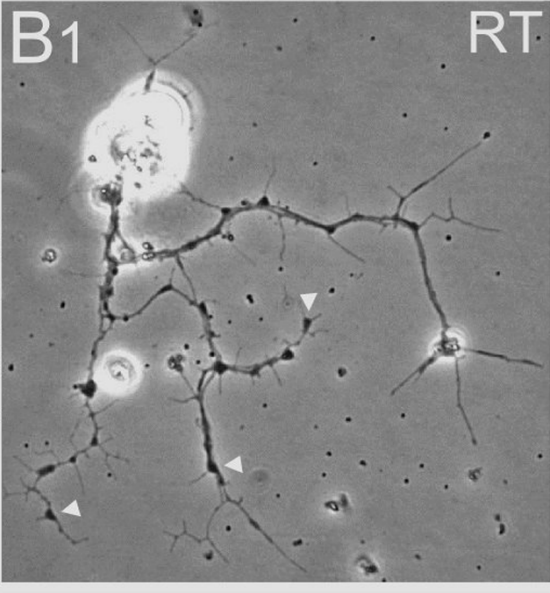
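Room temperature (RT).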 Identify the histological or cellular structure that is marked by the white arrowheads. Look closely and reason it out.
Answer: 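The arrowheads point to small dark swellings on thin neurites. Such swellings recur along the branches and at their ends.
Conclusion: dark nodules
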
